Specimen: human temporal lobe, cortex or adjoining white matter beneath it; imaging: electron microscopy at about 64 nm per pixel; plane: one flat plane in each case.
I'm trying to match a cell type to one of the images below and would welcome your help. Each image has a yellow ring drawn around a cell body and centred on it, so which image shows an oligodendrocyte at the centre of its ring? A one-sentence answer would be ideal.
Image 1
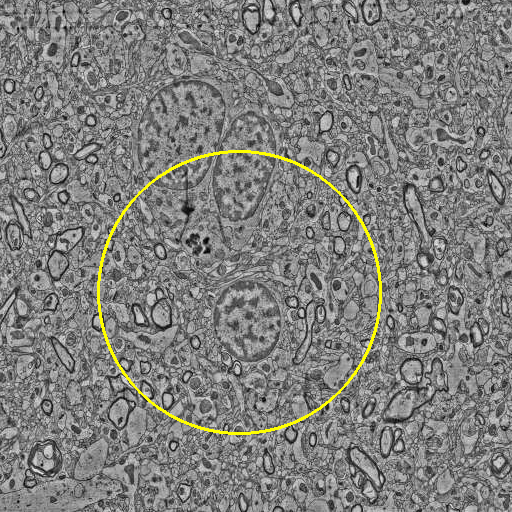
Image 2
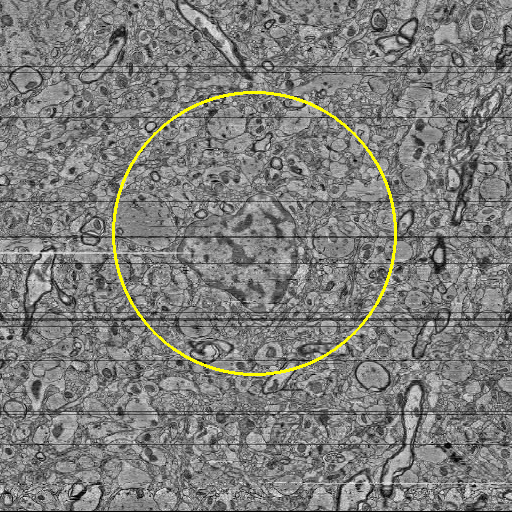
Image 1 shows it at the centre of the ring.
